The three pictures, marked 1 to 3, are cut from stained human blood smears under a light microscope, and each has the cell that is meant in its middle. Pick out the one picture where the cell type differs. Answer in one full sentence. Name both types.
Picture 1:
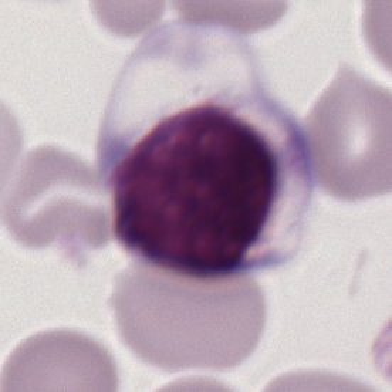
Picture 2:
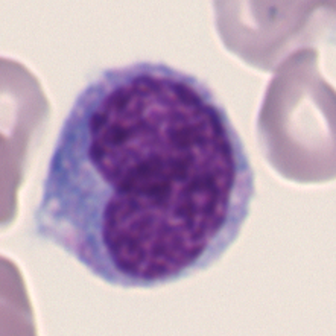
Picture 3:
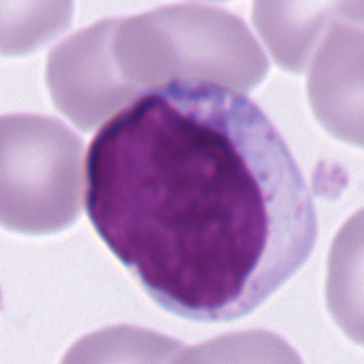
Picture 2 is the odd one out: it shows a monocyte, while the others show large granular lymphocytes.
